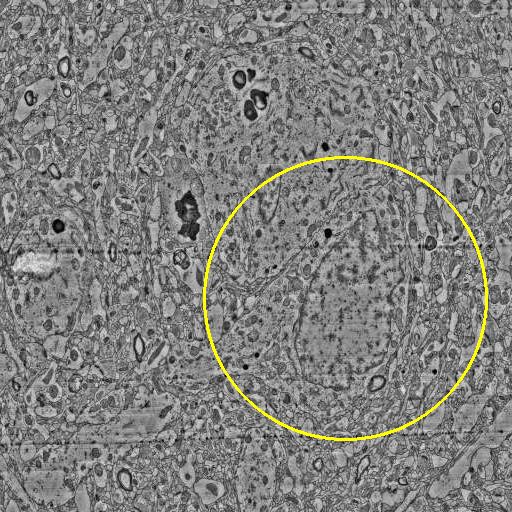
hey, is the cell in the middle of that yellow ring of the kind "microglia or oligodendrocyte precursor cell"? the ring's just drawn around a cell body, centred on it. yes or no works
no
